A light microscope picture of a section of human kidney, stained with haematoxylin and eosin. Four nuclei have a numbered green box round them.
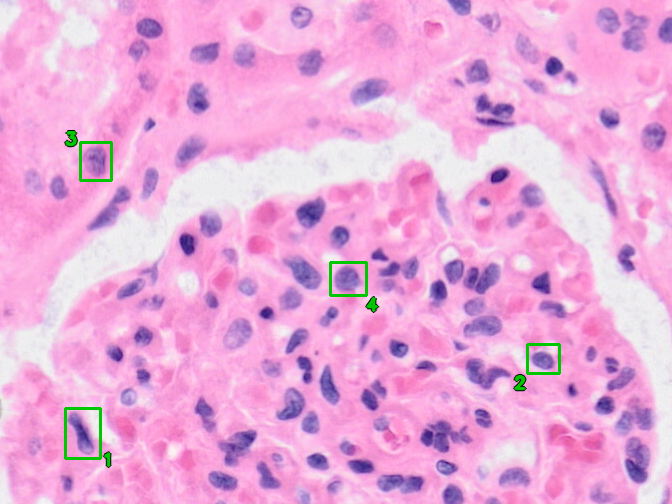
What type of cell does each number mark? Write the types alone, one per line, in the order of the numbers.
endothelial cell
endothelial cell
proximal tubule cell
endothelial cell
